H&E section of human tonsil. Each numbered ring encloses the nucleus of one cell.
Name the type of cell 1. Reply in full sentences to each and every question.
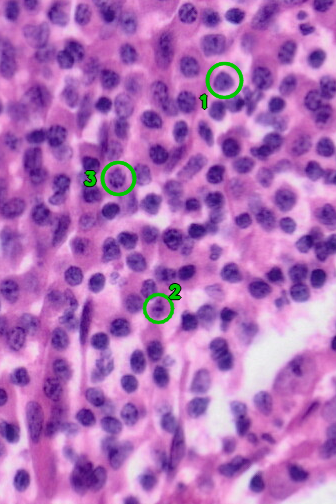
In the tissue shown, cell 1 is a mast cell.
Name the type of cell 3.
Within this field of view, the cell labelled 3 is a plasma cell.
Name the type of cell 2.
Number 2 is placed on a plasma cell here.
